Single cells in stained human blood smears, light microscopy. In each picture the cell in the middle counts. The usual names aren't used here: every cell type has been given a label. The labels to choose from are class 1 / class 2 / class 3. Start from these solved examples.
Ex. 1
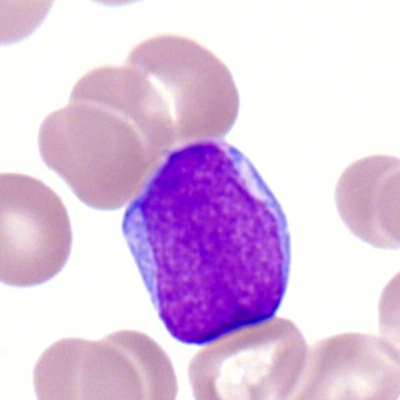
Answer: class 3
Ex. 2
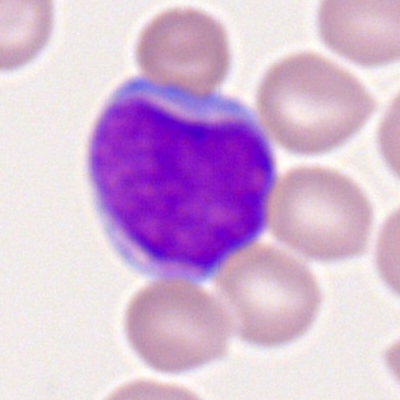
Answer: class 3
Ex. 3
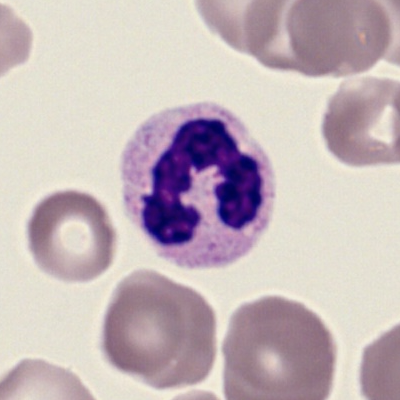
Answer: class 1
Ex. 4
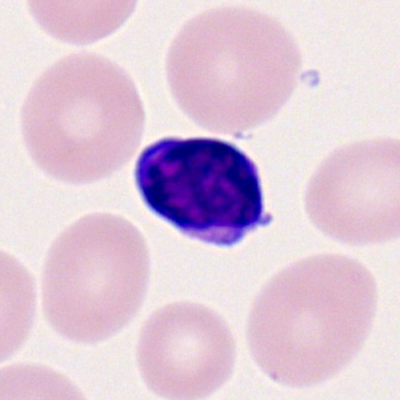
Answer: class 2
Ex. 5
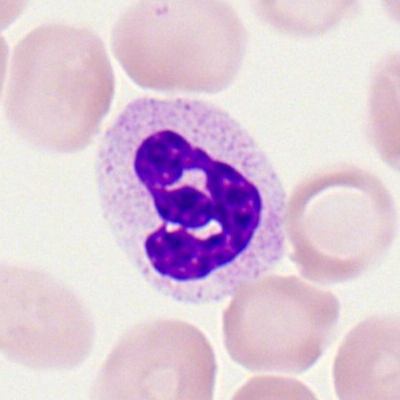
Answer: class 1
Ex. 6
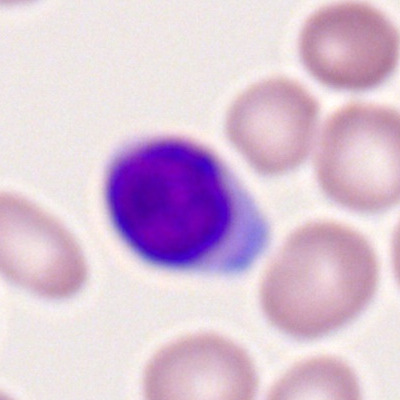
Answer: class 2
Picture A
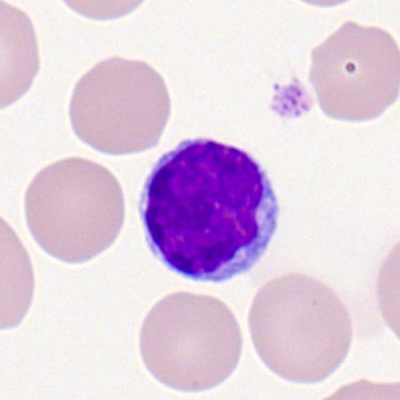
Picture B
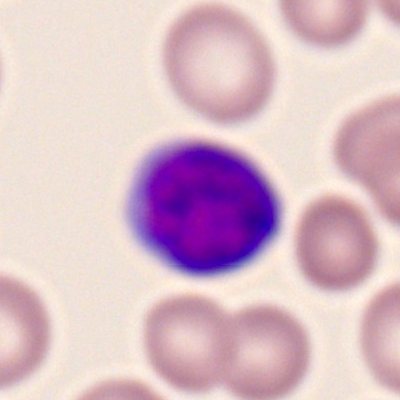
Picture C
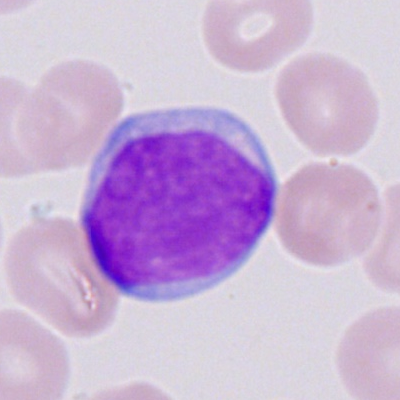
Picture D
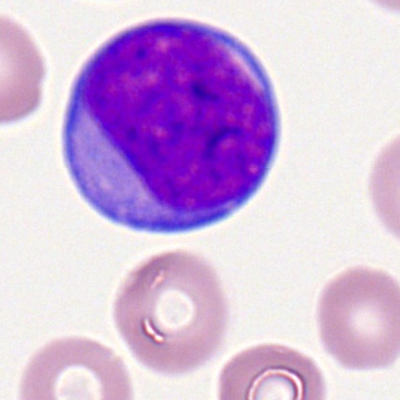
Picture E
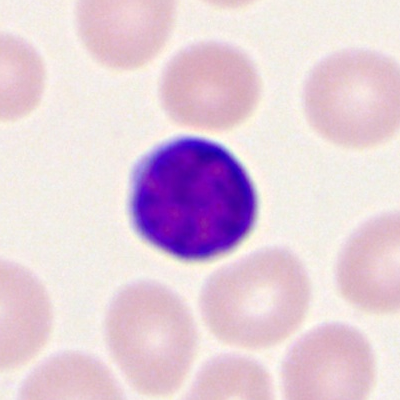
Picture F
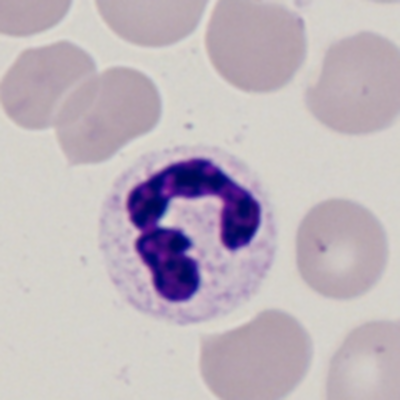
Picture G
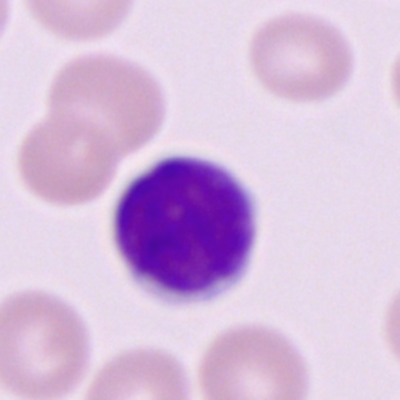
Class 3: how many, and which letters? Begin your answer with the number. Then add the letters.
2: C, D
